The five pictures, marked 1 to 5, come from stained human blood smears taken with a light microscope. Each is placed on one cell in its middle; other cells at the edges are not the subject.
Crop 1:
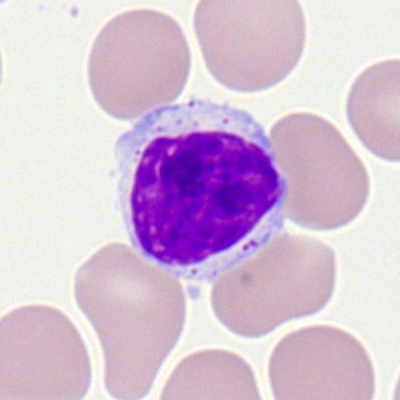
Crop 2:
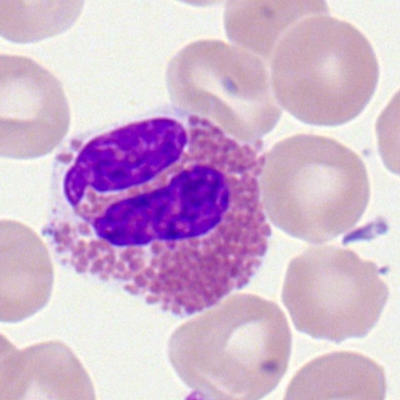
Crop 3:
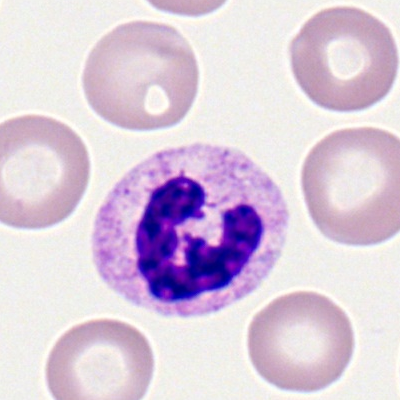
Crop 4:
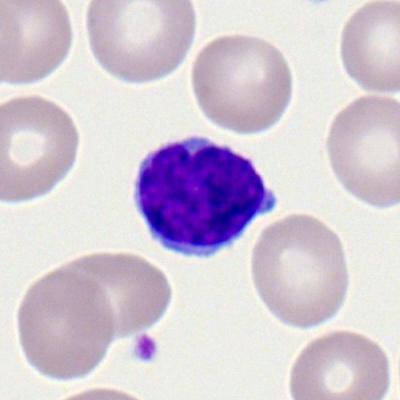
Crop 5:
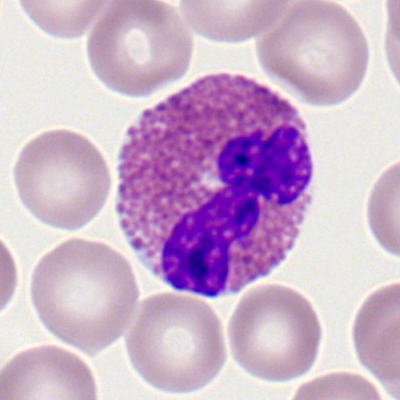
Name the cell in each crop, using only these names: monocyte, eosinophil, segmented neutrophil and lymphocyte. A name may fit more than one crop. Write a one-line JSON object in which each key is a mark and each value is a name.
{"1": "lymphocyte", "2": "eosinophil", "3": "segmented neutrophil", "4": "lymphocyte", "5": "eosinophil"}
